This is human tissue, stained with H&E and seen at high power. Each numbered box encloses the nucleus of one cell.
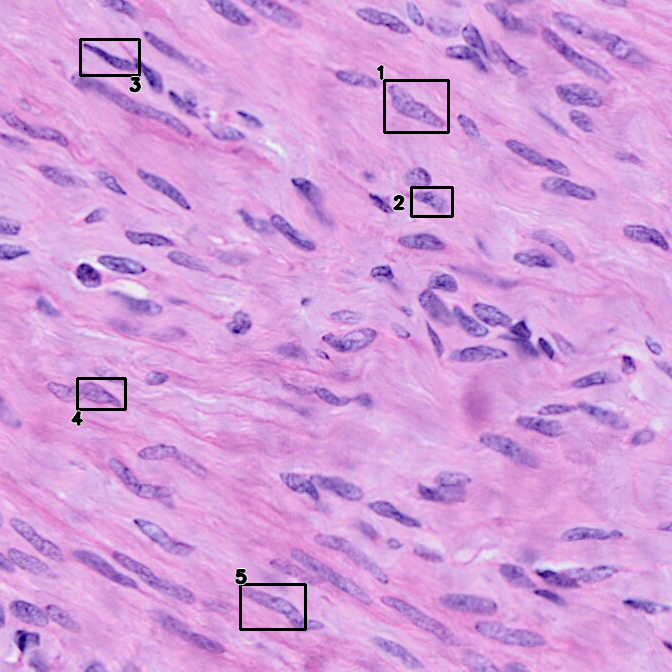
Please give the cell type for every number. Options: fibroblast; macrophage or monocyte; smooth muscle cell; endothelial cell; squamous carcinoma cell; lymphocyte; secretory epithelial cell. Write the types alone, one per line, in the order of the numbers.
fibroblast
fibroblast
fibroblast
smooth muscle cell
smooth muscle cell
